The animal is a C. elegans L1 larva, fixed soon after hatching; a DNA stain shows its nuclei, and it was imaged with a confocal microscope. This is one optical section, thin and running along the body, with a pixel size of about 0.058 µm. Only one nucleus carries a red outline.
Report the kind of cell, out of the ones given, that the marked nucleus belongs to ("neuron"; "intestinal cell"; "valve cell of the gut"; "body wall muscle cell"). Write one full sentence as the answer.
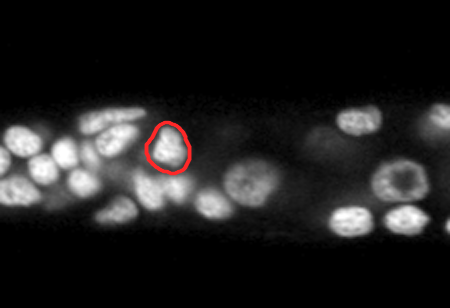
The marked nucleus belongs to a valve cell of the gut.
